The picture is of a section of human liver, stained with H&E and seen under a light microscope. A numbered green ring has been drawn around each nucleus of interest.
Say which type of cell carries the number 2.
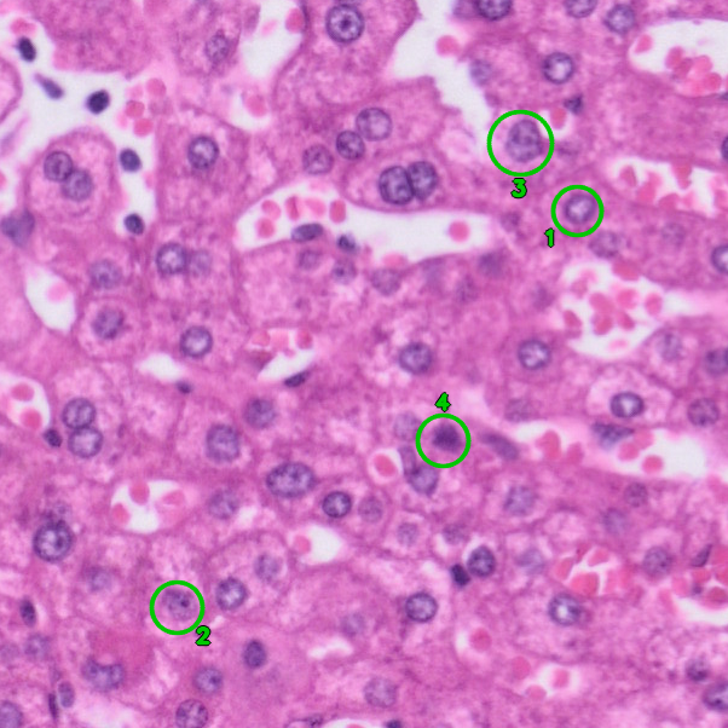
hepatocyte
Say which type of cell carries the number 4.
fibroblast or stellate cell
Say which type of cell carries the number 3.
hepatocyte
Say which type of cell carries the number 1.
hepatocyte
